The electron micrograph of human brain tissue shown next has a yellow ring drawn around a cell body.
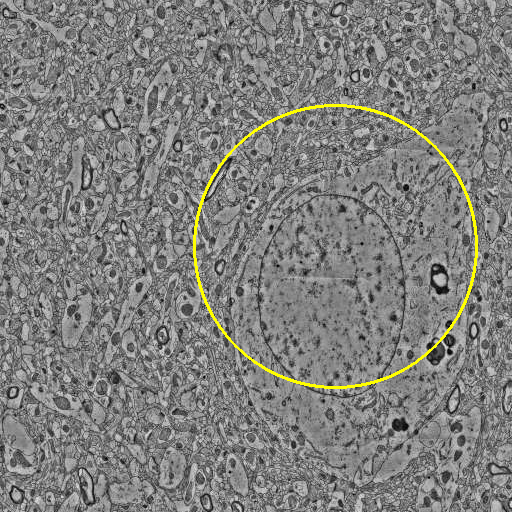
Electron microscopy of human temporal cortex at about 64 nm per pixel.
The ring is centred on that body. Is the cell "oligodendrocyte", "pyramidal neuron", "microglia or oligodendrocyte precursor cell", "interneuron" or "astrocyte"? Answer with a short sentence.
The cell in question is a pyramidal neuron.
